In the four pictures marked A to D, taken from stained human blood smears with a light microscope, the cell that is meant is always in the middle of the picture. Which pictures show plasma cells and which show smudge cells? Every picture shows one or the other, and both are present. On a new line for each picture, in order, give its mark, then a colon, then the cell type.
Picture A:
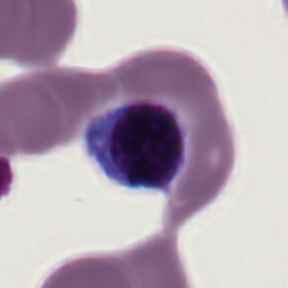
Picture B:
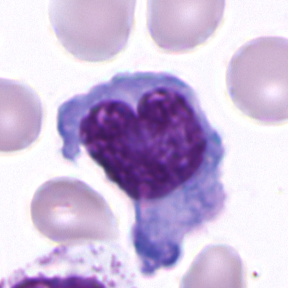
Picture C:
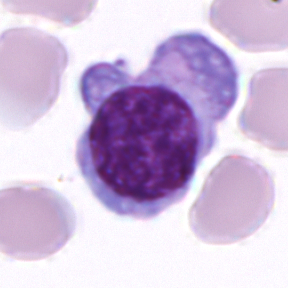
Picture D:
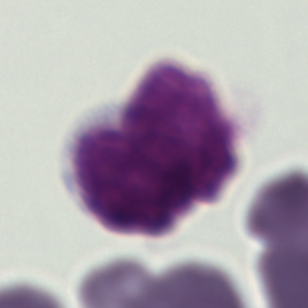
A: plasma cell
B: plasma cell
C: plasma cell
D: smudge cell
